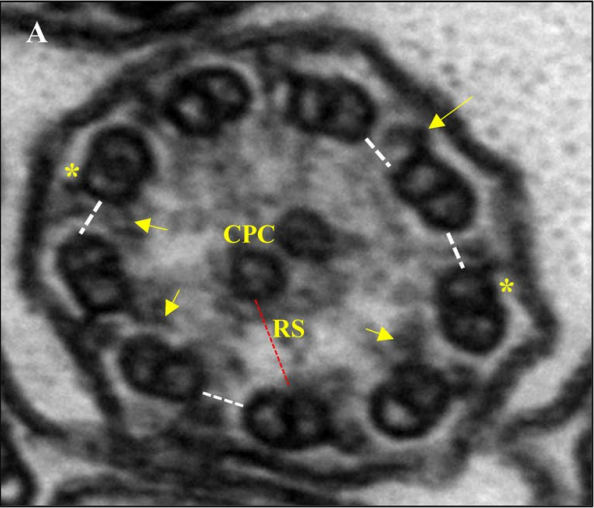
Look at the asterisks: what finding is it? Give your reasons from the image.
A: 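The asterisks lie beside the outer side of peripheral doublets. No distinct dense projection is seen on the doublets at the asterisks.
Conclusion: absence, reduction of dimensions, or little definition of the outer dynein arms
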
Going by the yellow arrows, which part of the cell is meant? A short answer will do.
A: outer and inner dynein arms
